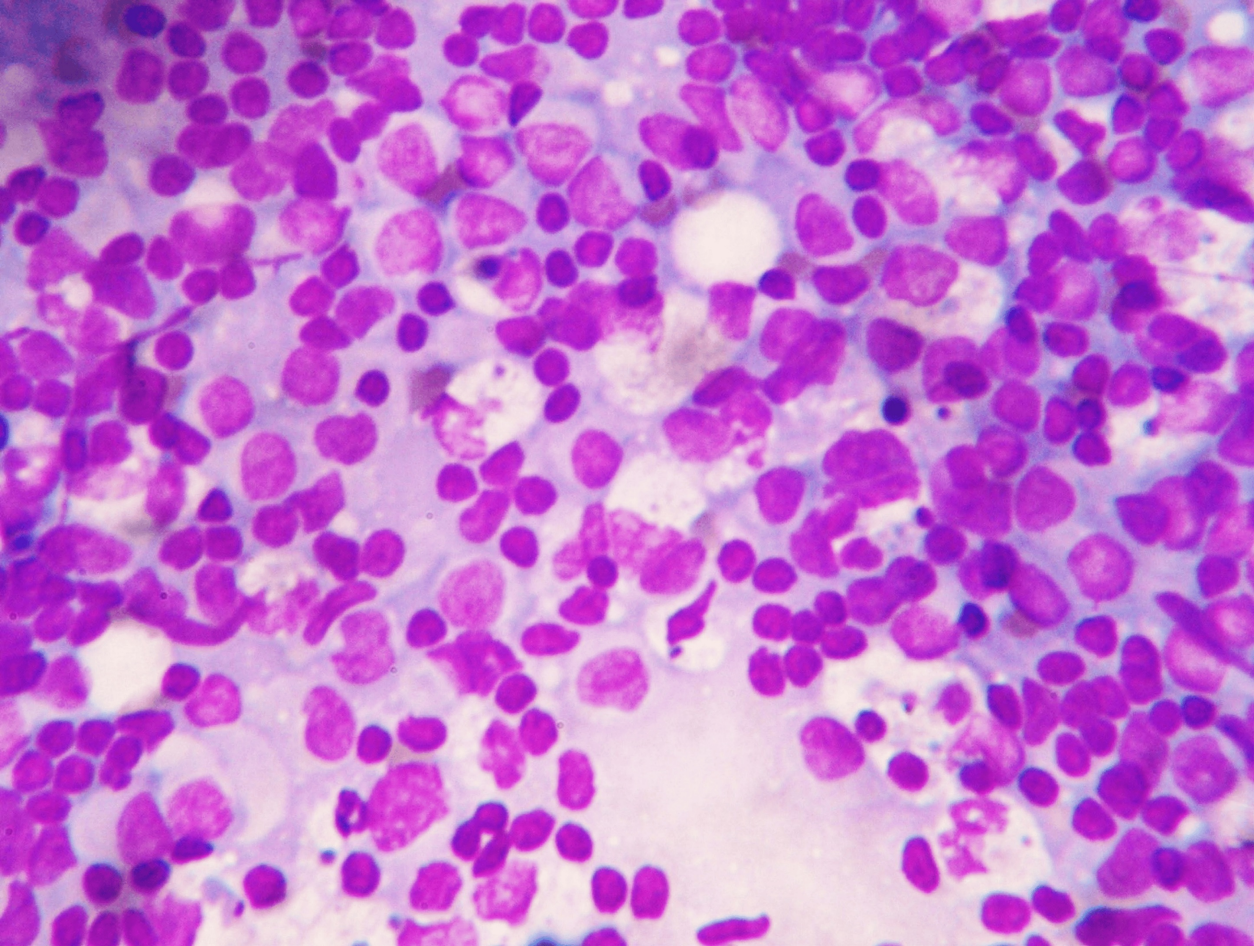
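This cellular smear shows a mixture of lymphoid cells and histiocytes crowded across almost the entire field. Most of the cells are small and round, with dense, dark purple nuclei and scant cytoplasm. Between them lie larger histiocytes with paler, finely granular nuclei and abundant pale, vacuolated cytoplasm, and some of these nuclei are curved and pushed to one side. A few small, very dark, round fragments are scattered among the cells.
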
